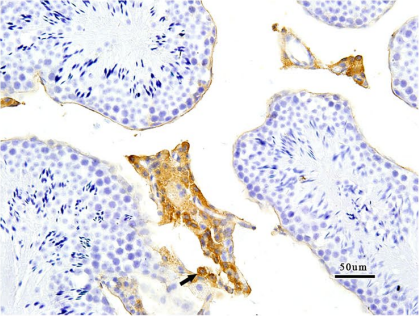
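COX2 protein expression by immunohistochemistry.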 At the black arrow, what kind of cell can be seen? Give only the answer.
Leydig cells.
